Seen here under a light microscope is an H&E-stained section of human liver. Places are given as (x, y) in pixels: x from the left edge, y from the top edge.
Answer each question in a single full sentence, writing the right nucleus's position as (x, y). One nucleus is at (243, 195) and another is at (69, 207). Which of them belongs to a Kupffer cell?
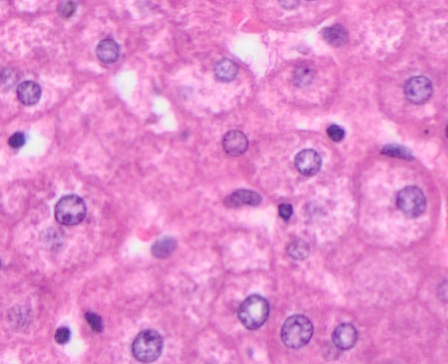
The nucleus lying at (243, 195) is the nucleus of a Kupffer cell.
